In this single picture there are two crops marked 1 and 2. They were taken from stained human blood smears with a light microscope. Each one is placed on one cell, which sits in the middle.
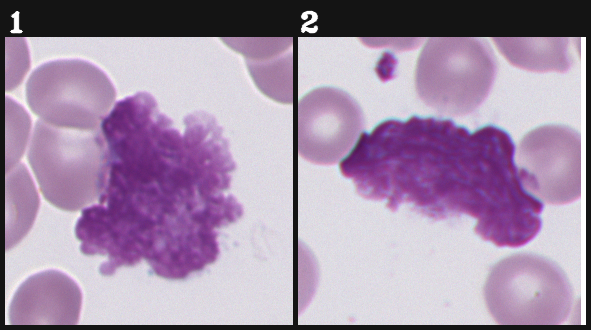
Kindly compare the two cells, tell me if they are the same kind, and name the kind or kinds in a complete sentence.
Yes, both crops show smudge cells, the one and the other.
